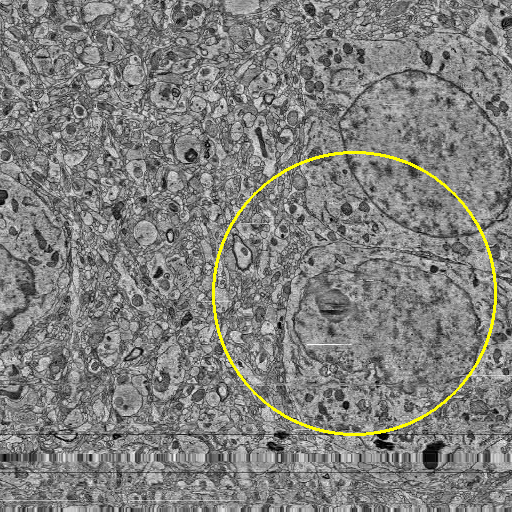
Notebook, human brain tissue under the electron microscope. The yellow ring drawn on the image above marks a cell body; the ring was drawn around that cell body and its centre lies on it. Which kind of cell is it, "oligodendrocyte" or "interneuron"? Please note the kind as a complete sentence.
The marked cell body is that of an interneuron.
